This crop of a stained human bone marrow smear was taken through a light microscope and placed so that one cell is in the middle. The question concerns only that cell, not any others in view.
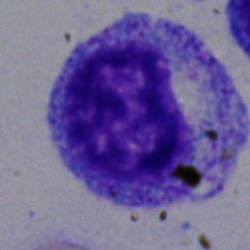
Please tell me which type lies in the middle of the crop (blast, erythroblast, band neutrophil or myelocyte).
myelocyte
